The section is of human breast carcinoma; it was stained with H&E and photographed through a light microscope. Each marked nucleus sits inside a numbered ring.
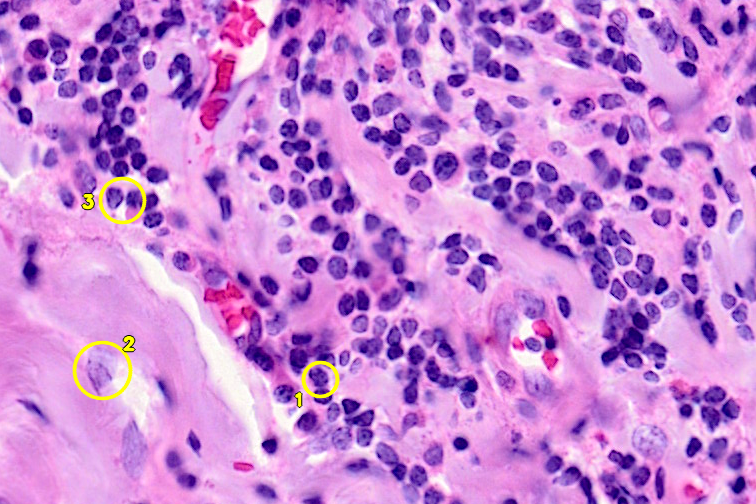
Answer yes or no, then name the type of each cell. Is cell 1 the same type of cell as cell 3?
Yes, both are lymphocytes.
